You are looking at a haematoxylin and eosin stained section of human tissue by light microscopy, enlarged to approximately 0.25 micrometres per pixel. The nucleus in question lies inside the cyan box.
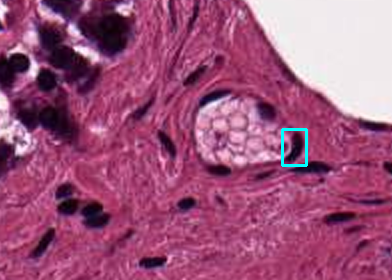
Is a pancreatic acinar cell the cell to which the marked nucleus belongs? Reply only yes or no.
no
